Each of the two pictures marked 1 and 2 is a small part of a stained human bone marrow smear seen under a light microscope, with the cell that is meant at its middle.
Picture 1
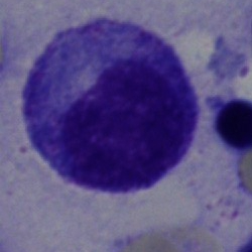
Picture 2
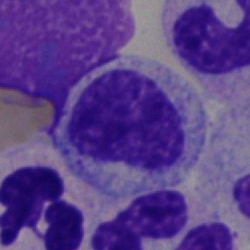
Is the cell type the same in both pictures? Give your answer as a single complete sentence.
No. Picture 1 shows a promyelocyte, but picture 2 shows a myelocyte.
